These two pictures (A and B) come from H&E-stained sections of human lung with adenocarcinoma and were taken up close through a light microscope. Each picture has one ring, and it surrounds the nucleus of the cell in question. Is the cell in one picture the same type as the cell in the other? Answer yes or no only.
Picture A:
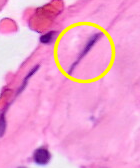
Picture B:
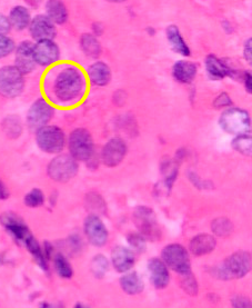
no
